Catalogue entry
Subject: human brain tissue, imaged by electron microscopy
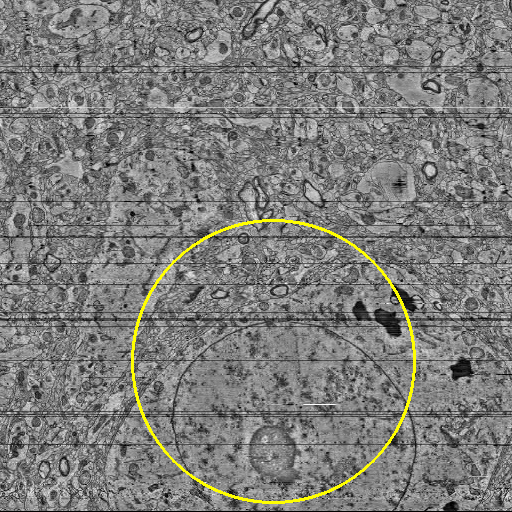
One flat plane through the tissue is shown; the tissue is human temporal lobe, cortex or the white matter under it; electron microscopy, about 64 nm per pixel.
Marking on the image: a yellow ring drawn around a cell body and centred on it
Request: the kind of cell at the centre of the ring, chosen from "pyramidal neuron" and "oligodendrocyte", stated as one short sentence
The ring has a pyramidal neuron at its centre.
